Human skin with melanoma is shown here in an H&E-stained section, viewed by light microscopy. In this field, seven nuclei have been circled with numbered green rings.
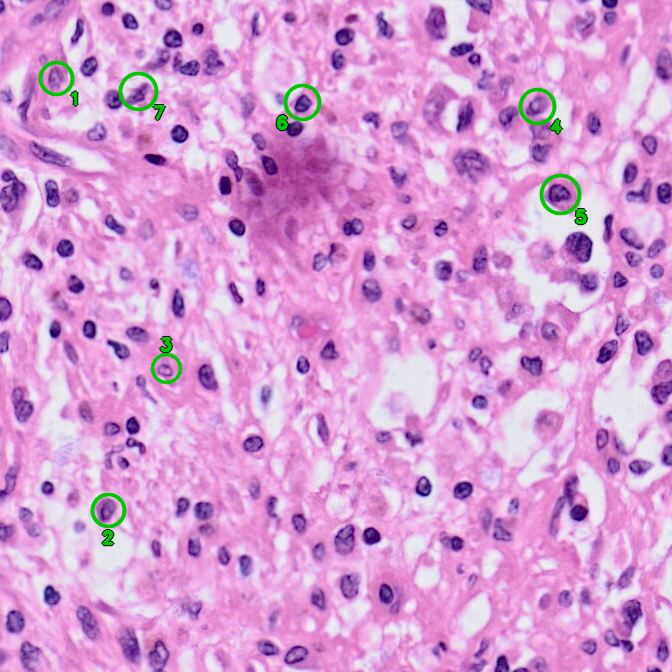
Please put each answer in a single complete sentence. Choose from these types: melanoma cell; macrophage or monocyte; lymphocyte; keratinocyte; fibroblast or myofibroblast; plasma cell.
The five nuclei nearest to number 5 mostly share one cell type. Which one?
The majority of the five nuclei closest to number 5 belong to melanoma cells.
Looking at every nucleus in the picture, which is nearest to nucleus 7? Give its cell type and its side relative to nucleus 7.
The nearest one is a lymphocyte, found to the left of nucleus 7.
